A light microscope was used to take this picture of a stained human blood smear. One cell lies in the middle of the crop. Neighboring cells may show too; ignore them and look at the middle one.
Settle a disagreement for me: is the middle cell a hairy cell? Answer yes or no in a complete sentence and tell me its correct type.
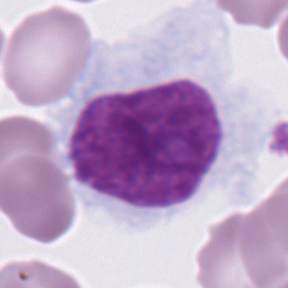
Yes, the cell in the center of this crop is a hairy cell.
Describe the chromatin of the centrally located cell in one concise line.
What stands out is fine chromatin lacking any coarse clumps.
